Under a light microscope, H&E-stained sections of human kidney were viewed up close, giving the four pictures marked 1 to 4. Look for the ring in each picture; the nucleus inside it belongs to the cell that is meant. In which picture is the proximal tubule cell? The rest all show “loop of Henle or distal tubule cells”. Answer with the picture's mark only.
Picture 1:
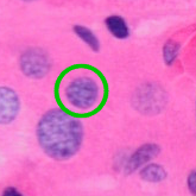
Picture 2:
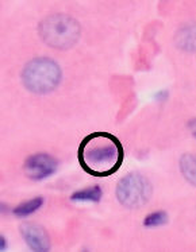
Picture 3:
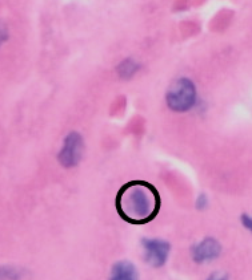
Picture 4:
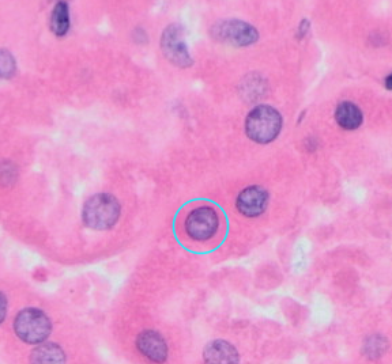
4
